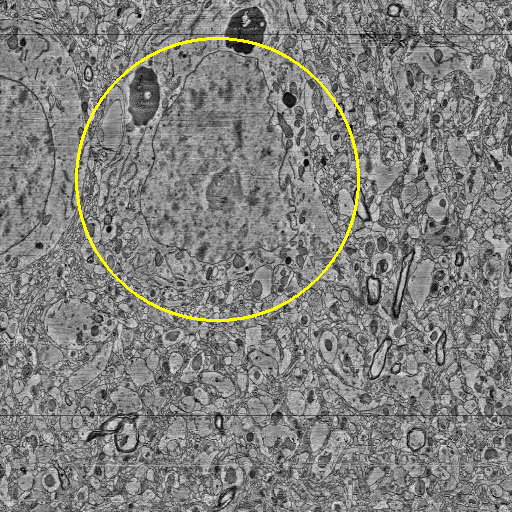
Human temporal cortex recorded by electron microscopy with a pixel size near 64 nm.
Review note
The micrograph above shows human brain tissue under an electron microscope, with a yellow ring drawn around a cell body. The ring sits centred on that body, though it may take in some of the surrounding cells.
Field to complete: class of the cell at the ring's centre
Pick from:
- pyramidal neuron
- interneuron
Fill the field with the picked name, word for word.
interneuron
